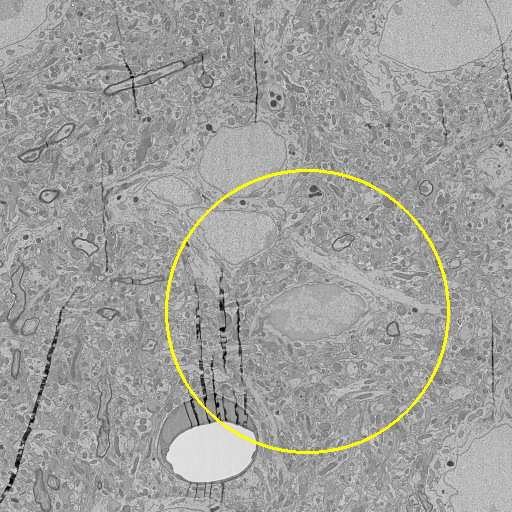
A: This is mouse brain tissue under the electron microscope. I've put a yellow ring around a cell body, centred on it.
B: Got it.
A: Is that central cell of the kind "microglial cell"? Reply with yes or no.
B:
yes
